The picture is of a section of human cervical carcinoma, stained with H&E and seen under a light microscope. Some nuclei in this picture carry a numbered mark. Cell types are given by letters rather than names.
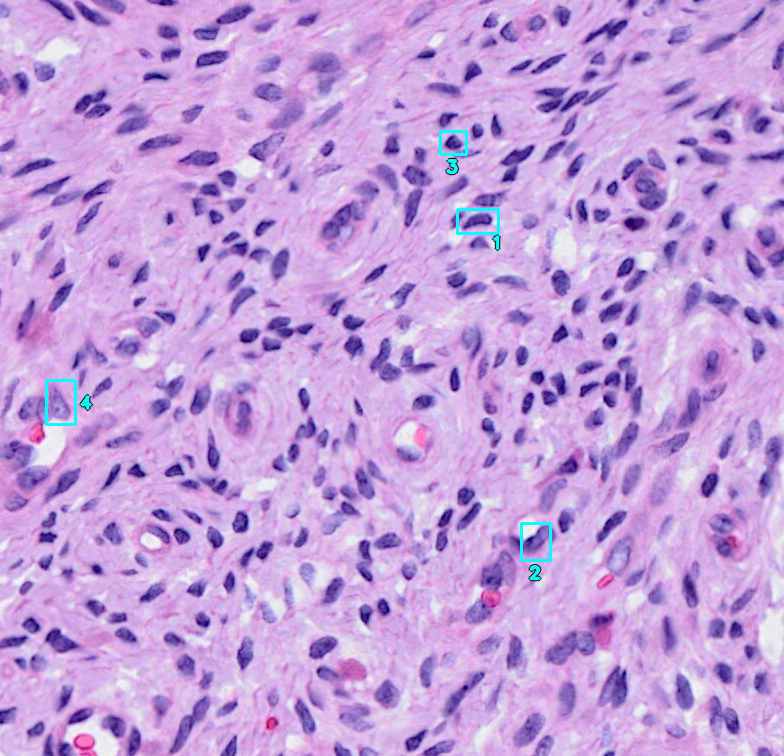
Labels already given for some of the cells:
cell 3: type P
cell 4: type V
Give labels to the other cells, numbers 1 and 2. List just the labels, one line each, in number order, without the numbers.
type P
type V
